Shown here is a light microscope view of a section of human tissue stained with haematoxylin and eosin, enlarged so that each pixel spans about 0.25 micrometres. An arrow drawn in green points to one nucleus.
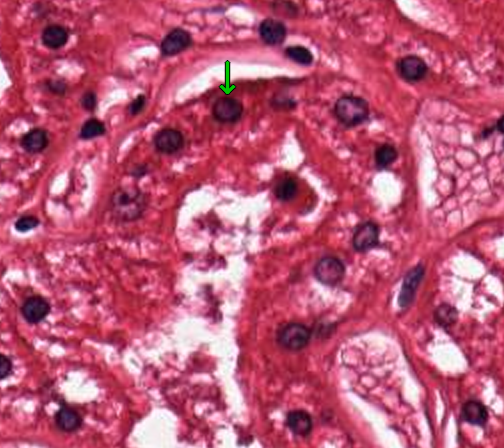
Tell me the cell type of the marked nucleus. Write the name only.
proximal tubule cell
